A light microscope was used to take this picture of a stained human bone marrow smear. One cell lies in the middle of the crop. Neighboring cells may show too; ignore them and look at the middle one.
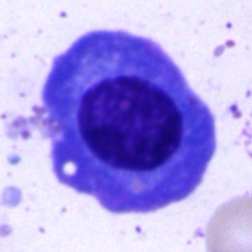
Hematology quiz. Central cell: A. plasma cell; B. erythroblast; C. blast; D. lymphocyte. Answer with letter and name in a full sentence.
The cell placed in the middle is a plasma cell; option A is correct.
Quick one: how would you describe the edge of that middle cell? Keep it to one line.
Instead of a smooth edge, this cell has an irregular one, ragged or with projections.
